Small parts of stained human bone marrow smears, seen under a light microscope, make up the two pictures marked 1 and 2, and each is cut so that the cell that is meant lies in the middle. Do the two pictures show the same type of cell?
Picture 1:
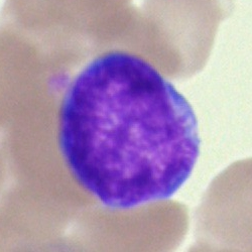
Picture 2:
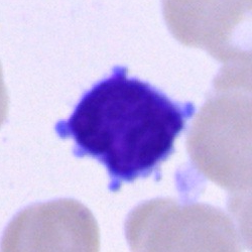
no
